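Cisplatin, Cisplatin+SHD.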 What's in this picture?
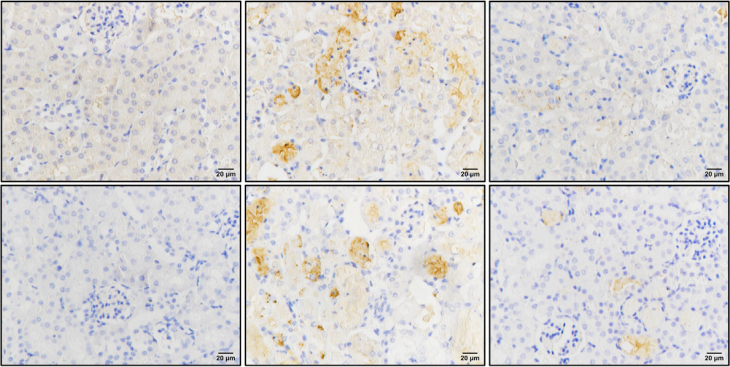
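This is renal cortex, with glomeruli and tubules cut in cross-section. The tubules are lined by a single layer of epithelial cells with round blue nuclei. Scattered among them are glomeruli, seen as compact round tufts crowded with nuclei. In the middle images, groups of tubular epithelial cells carry a strong golden-brown stain in their cytoplasm. Some of these tubules look swollen or disrupted. In the outer images the tissue is mostly pale, with little or no brown stain.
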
